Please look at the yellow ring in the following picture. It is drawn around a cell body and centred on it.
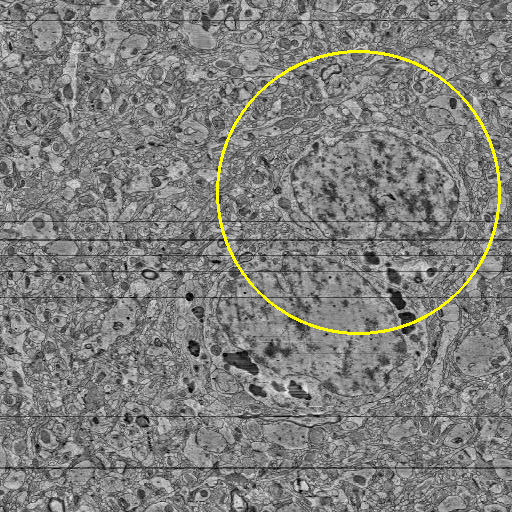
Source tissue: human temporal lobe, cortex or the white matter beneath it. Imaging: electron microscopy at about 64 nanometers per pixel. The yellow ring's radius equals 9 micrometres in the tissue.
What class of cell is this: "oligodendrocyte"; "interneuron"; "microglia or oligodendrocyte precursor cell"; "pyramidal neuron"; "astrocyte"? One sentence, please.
The ring surrounds the cell body of an interneuron.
